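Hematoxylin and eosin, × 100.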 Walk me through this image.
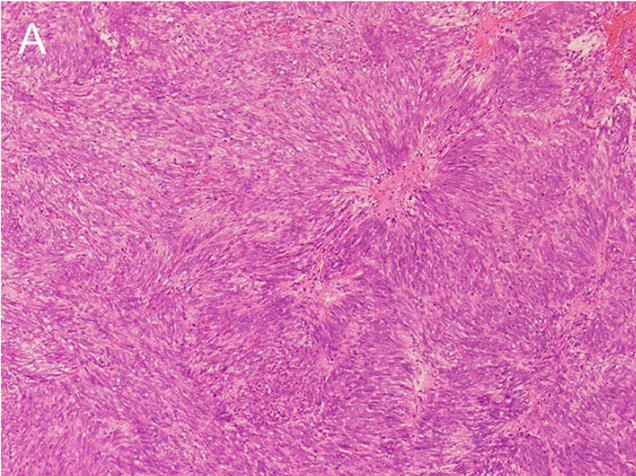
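This is a spindle-cell neoplasm made of densely packed elongated cells with slender, purple nuclei and pale pink cytoplasm. The cells are arranged in intersecting fascicles that sweep and whorl around small central foci. There is very little stroma between the cells, and the tumor forms a uniform, highly cellular sheet.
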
